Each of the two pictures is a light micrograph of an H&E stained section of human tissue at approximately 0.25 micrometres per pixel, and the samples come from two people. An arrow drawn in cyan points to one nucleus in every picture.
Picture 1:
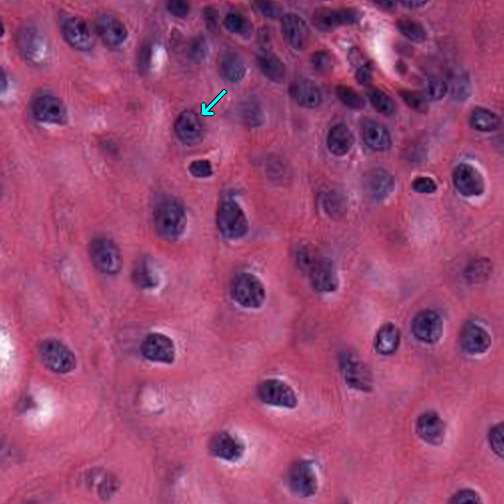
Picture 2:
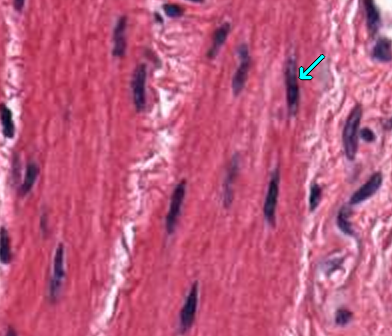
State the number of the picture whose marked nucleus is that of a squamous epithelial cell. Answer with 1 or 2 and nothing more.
1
